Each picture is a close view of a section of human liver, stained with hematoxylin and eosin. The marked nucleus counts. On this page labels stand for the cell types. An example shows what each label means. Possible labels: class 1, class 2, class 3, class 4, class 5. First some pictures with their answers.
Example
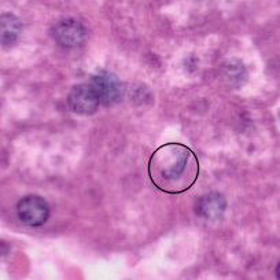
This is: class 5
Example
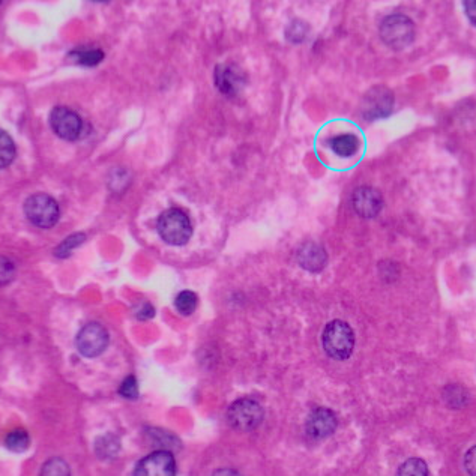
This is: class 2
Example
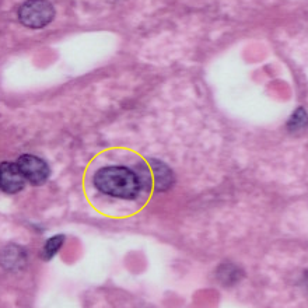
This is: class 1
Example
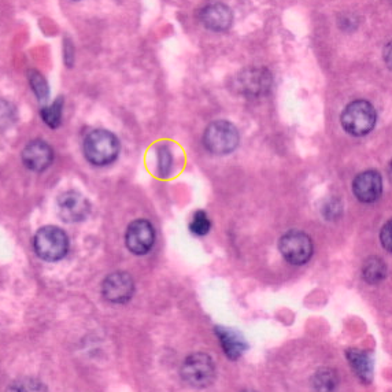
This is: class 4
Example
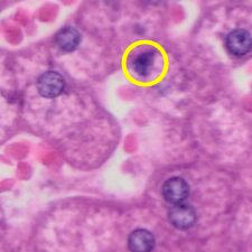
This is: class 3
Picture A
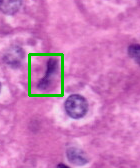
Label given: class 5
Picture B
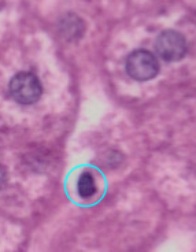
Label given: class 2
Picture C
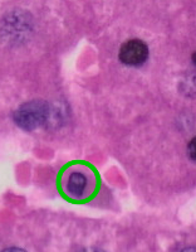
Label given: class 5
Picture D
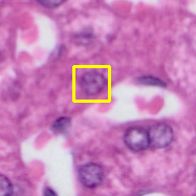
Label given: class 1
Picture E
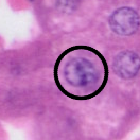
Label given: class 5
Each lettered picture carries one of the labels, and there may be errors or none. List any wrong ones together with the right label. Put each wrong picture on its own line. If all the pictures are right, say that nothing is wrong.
C: change class 5 to class 4
E: change class 5 to class 1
